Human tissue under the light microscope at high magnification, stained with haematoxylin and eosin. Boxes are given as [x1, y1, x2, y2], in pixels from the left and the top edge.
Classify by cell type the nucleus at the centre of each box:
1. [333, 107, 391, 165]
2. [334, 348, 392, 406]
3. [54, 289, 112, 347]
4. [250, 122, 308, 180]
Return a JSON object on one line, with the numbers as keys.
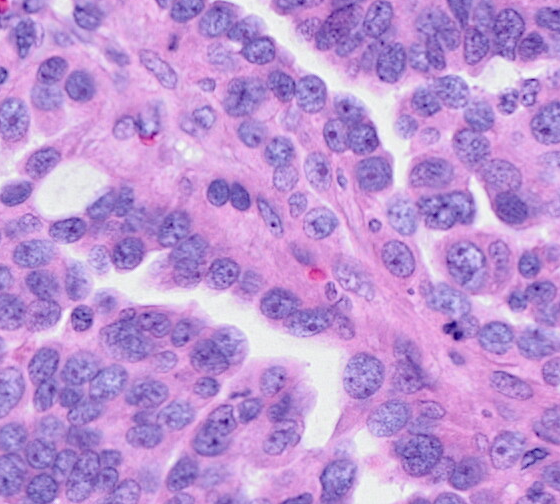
{"1": "carcinoma cell", "2": "carcinoma cell", "3": "macrophage or monocyte", "4": "carcinoma cell"}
